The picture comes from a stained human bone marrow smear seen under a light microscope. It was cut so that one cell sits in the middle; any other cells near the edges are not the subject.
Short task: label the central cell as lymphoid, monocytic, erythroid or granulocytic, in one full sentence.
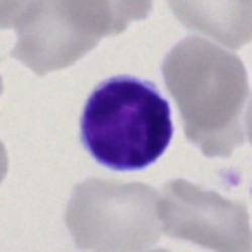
Here the cell at the center is of the lymphoid lineage.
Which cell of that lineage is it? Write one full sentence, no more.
In short, the cell at the center is a lymphocyte.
